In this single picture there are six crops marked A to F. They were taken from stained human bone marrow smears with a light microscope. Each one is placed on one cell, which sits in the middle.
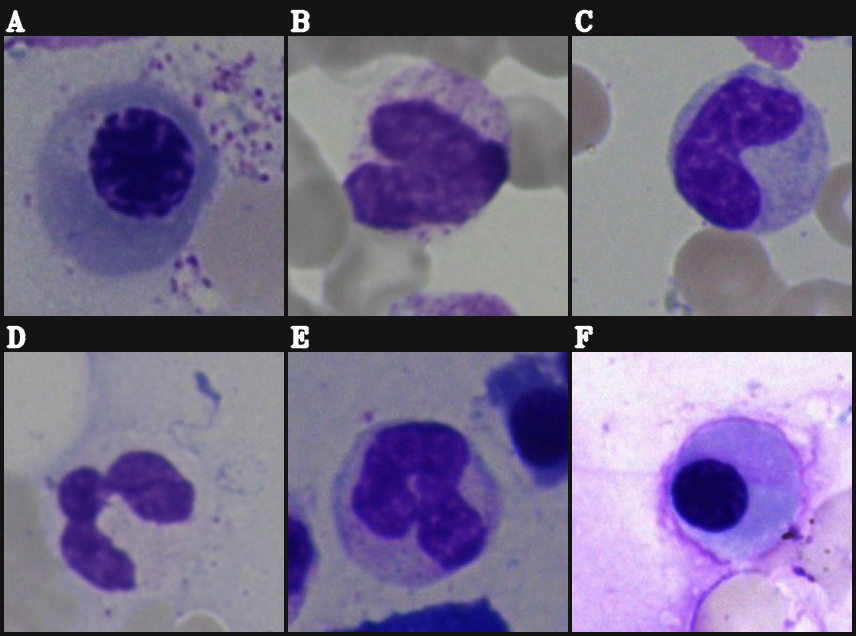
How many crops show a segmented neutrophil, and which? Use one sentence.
The set contains two crops with segmented neutrophils, those being D and E.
